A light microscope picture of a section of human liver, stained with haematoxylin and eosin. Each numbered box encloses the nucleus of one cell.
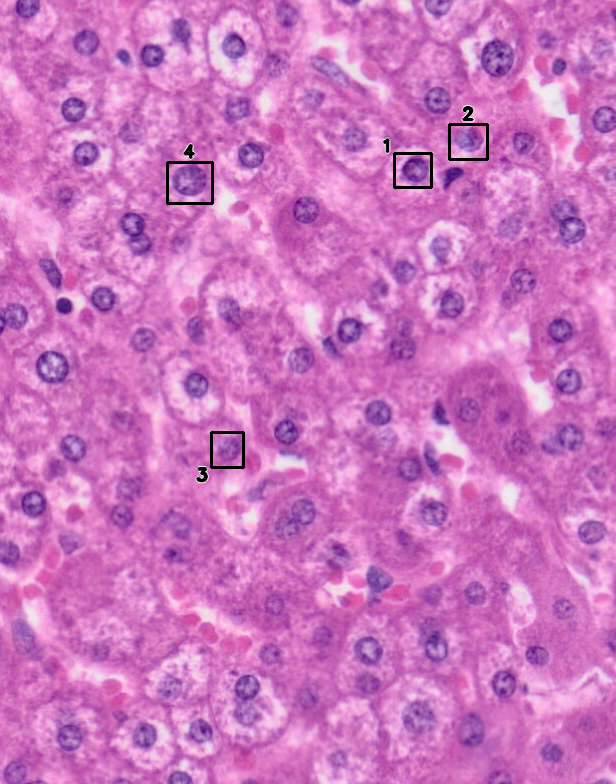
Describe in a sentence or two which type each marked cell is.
Cells 1, 3 and 4 are hepatocytes. Cell 2 is an endothelial cell.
